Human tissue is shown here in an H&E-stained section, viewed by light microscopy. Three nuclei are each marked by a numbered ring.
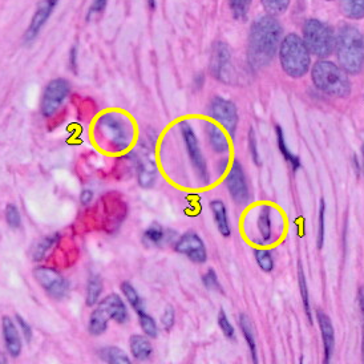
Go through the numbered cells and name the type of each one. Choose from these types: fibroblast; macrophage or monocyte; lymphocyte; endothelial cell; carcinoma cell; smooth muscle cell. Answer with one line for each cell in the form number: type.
1: fibroblast
2: endothelial cell
3: fibroblast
